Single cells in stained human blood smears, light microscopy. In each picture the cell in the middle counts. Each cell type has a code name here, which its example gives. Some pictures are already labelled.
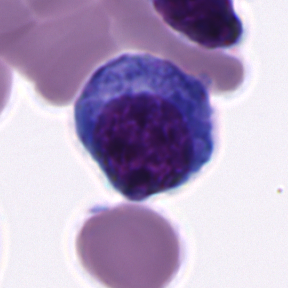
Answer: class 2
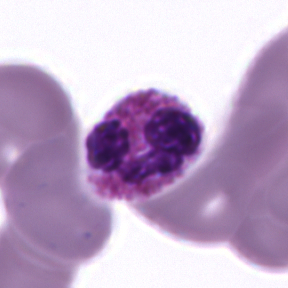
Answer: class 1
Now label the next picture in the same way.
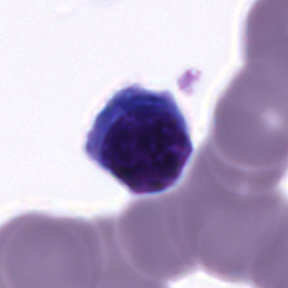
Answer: class 2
